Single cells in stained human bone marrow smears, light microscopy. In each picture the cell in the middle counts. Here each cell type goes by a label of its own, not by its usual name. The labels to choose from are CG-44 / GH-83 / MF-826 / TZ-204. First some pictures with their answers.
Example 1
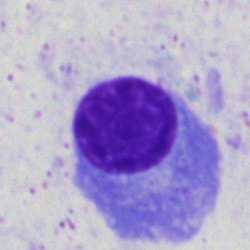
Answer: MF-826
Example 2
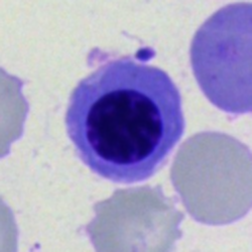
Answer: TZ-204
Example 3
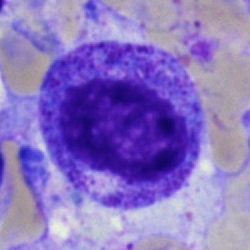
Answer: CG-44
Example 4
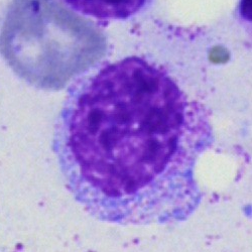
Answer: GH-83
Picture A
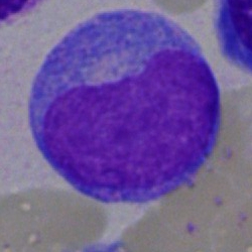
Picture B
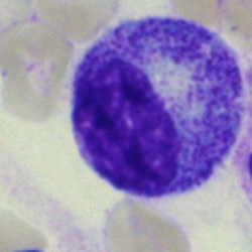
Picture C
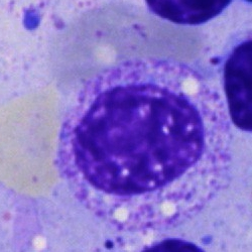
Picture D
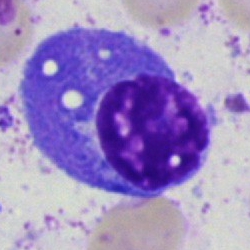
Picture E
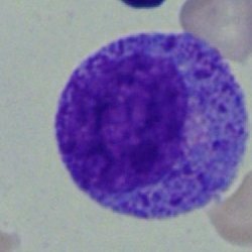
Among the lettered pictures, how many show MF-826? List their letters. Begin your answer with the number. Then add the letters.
1, namely D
